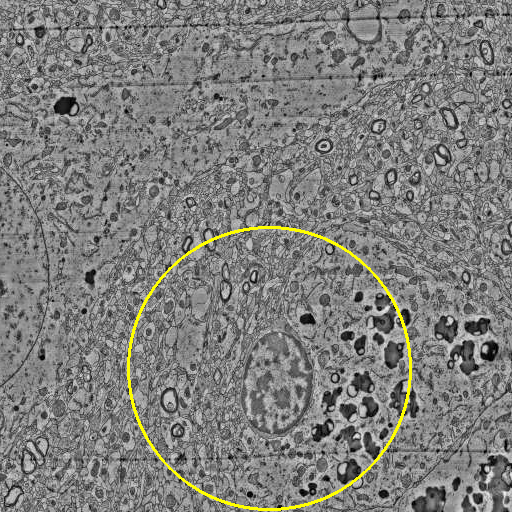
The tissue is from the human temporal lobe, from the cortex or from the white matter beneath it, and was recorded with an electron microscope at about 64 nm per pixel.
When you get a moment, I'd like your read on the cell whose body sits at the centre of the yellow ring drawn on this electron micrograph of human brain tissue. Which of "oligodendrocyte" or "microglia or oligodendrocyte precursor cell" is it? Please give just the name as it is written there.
oligodendrocyte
